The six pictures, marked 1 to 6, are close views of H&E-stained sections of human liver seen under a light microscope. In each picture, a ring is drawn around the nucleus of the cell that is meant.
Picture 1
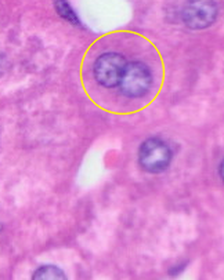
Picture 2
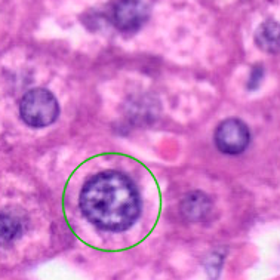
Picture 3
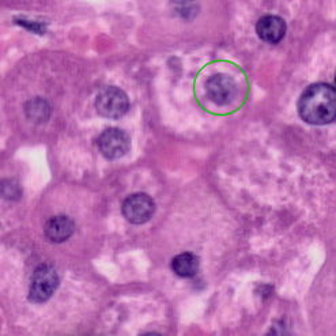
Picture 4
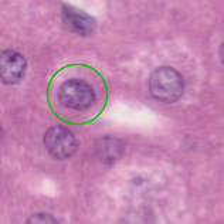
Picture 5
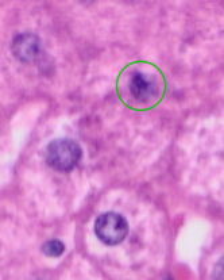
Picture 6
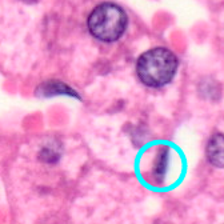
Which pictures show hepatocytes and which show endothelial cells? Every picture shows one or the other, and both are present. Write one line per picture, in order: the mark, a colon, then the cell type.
1: hepatocyte
2: hepatocyte
3: hepatocyte
4: hepatocyte
5: endothelial cell
6: endothelial cell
